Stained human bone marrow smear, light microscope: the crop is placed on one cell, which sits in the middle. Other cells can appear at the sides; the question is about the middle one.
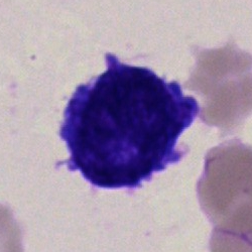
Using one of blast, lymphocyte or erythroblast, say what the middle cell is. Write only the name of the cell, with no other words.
blast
